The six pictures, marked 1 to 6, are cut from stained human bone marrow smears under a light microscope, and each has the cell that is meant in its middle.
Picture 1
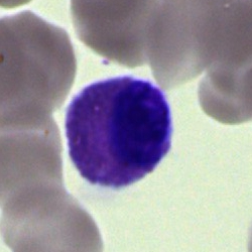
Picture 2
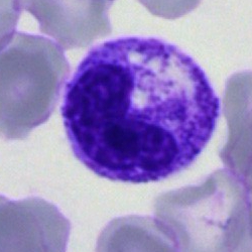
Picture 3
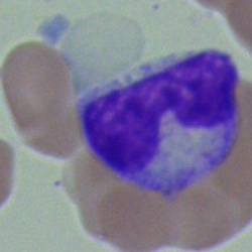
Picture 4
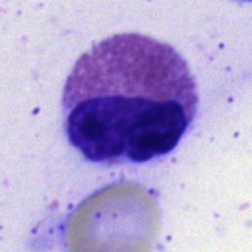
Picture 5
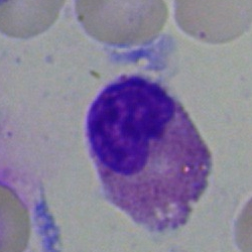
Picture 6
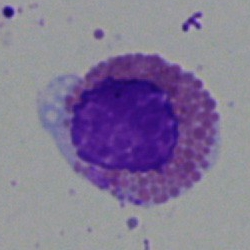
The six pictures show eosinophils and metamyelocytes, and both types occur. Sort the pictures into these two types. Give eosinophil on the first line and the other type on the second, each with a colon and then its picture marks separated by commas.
eosinophil: 1, 4, 5, 6
metamyelocyte: 2, 3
